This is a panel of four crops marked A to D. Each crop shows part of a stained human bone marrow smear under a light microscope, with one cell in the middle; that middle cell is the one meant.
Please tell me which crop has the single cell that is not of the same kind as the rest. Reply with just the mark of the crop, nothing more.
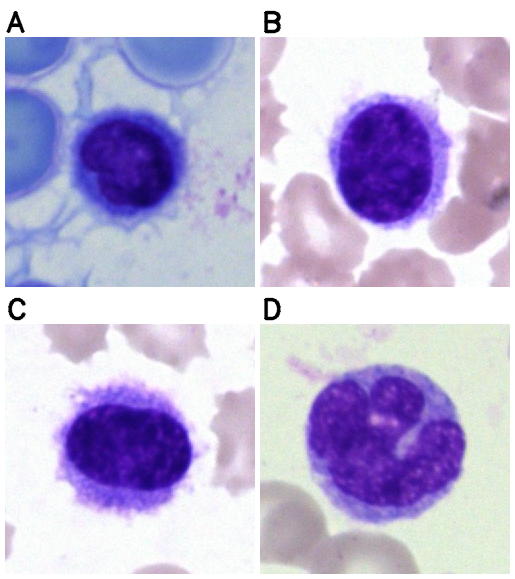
D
